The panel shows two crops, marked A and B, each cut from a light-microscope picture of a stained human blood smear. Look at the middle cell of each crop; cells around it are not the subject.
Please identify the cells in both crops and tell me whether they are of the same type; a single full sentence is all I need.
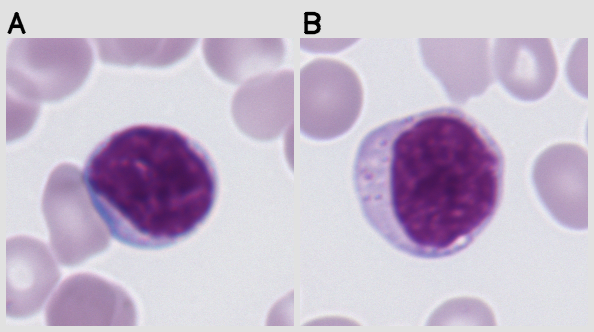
Yes, both crops show large granular lymphocytes in their central position.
